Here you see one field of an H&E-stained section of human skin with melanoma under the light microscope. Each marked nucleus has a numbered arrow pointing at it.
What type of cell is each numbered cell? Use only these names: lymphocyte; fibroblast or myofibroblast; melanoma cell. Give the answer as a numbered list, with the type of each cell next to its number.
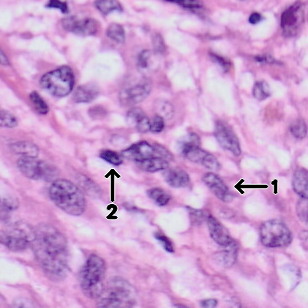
1. melanoma cell
2. lymphocyte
